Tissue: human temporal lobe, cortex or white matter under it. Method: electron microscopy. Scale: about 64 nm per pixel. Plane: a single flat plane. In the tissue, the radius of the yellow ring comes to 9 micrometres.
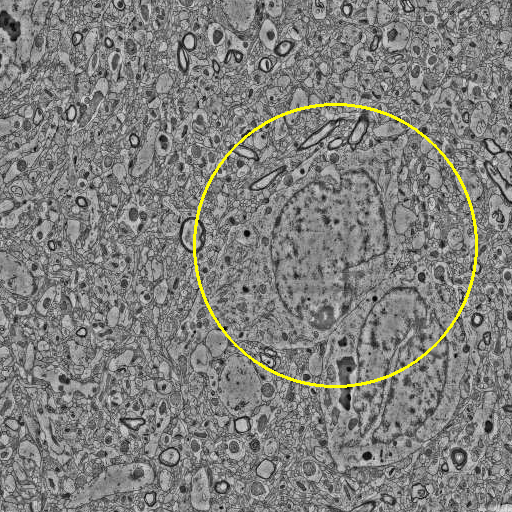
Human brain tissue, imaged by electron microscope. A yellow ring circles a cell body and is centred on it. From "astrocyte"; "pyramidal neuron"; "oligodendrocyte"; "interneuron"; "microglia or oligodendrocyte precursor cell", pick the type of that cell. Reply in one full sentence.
The cell body at the centre of the yellow ring belongs to an interneuron.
